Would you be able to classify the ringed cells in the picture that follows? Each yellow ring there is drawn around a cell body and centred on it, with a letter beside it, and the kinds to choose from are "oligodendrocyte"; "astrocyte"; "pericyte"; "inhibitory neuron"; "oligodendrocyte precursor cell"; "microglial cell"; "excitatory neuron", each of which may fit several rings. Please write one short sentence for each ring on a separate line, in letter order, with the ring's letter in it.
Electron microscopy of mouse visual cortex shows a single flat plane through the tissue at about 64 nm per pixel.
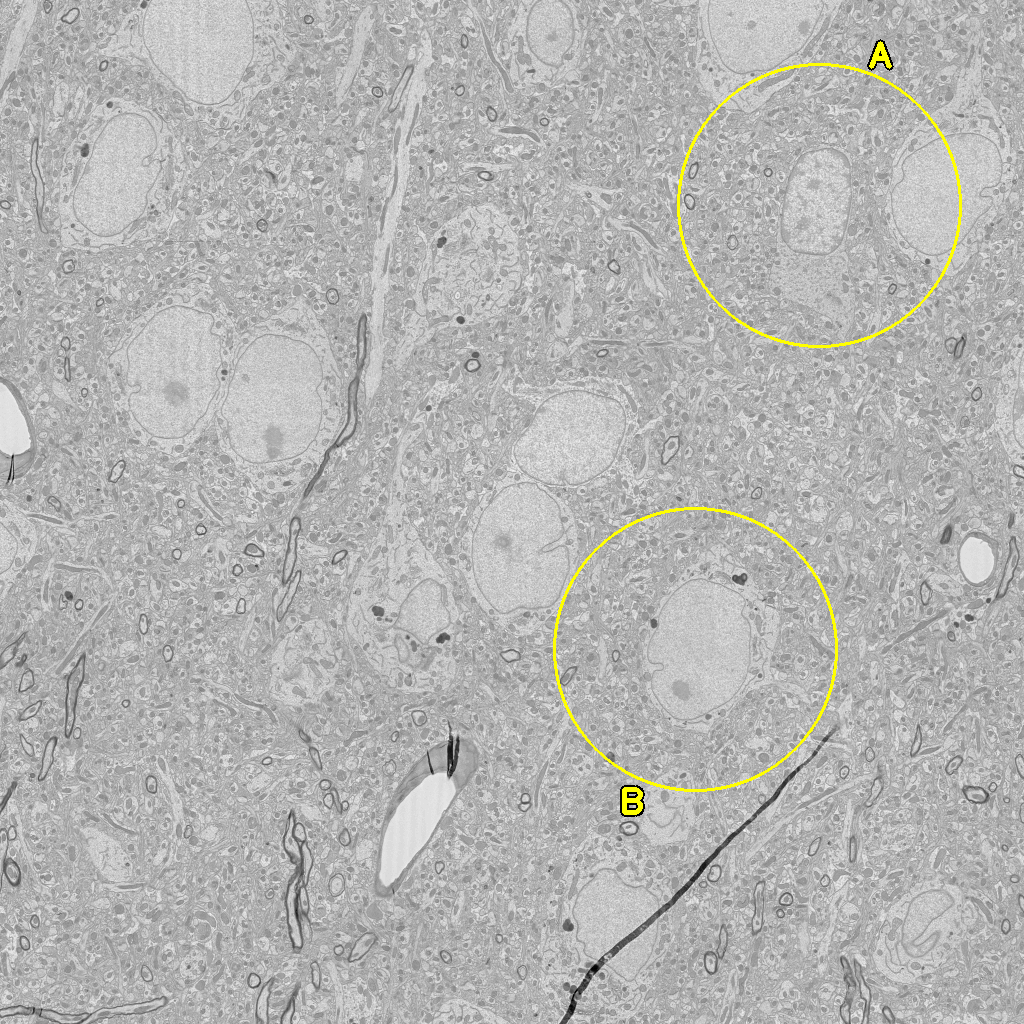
The cell body at the centre of ring A belongs to an oligodendrocyte.
The cell body at the centre of ring B belongs to an excitatory neuron.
